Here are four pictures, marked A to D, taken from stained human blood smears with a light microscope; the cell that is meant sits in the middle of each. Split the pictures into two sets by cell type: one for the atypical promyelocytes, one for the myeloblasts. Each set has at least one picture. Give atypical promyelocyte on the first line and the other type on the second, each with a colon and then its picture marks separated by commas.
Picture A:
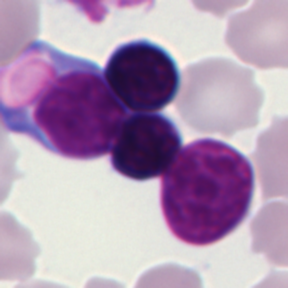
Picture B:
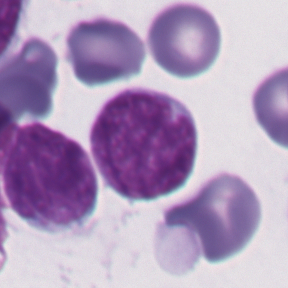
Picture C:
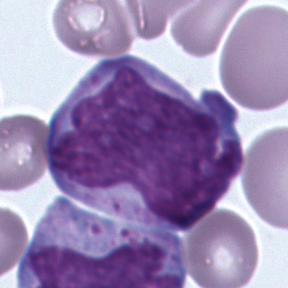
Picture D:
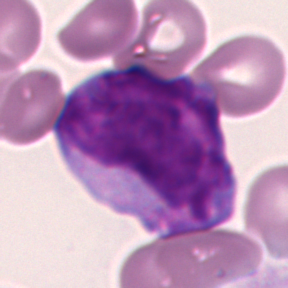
atypical promyelocyte: C, D
myeloblast: A, B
